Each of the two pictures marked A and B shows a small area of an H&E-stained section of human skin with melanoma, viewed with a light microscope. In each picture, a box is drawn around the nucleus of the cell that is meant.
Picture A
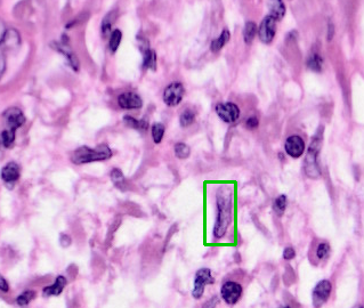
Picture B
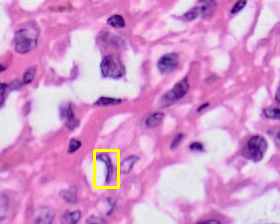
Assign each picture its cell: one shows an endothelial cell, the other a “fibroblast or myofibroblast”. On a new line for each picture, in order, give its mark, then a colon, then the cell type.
A: fibroblast or myofibroblast
B: endothelial cell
